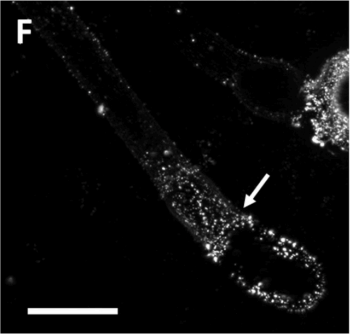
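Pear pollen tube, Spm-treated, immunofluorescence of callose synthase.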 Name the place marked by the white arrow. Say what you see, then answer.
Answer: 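Neck region. The arrow points to where the narrow tube joins a rounded swollen tip. Bright dots cluster at that junction.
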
